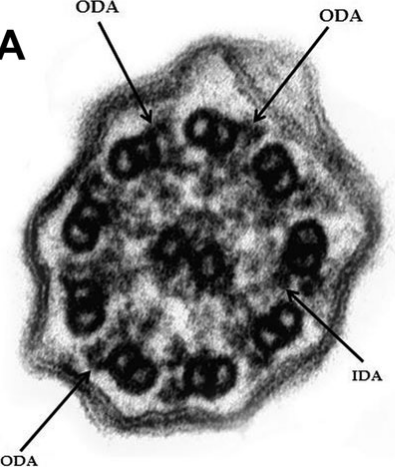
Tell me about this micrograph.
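A cross-section of a single cilium bounded by a wavy dark membrane. Inside, nine dark paired microtubule doublets form a ring around a central pair of microtubules, in a grey, finely granular matrix. Small dense projections extend from several doublets toward the neighbouring doublet.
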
